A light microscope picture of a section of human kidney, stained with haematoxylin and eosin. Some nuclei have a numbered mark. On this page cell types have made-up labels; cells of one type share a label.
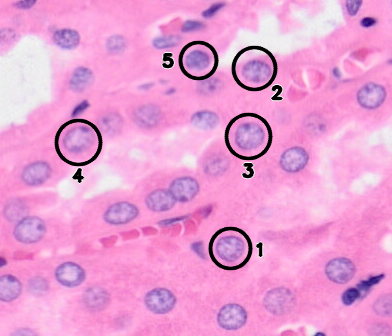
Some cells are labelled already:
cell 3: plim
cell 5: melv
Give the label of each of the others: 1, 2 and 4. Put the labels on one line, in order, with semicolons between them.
plim; melv; plim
